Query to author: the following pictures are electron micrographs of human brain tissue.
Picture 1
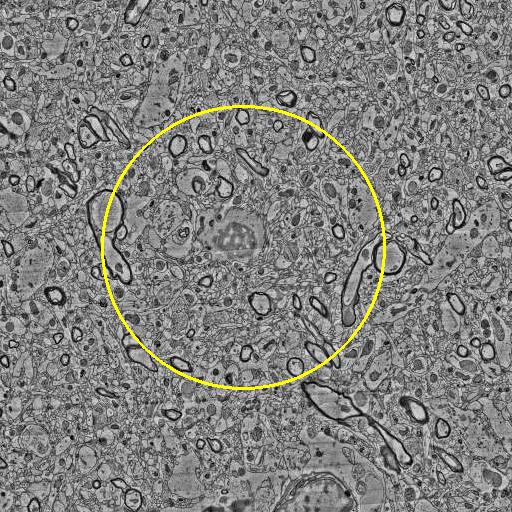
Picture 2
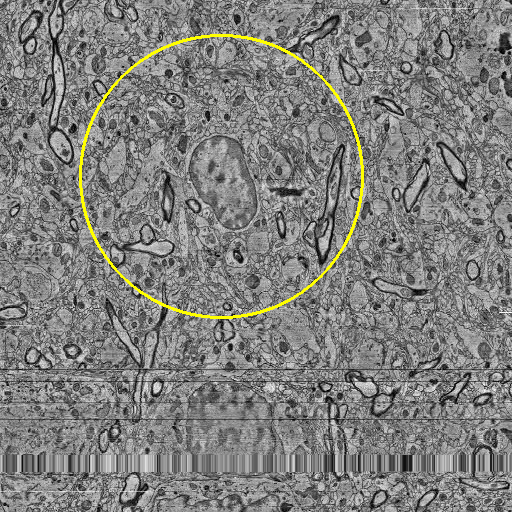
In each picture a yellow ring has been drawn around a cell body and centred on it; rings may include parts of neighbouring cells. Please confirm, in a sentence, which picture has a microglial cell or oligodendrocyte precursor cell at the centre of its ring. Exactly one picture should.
Picture 2 has it at the centre of its ring.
